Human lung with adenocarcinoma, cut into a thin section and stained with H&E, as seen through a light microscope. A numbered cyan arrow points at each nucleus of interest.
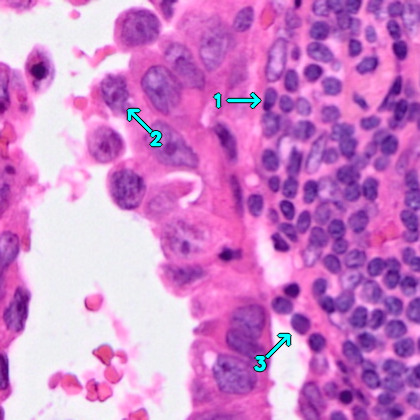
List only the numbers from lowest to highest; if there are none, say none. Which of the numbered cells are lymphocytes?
1, 3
